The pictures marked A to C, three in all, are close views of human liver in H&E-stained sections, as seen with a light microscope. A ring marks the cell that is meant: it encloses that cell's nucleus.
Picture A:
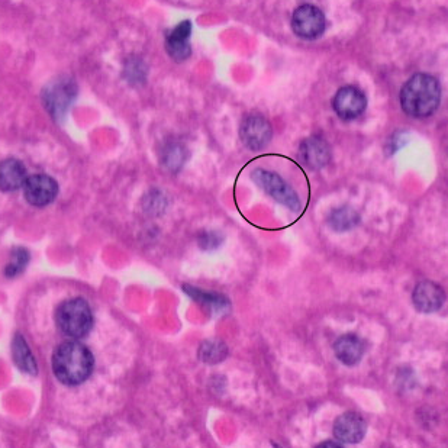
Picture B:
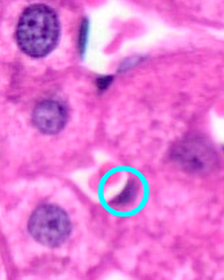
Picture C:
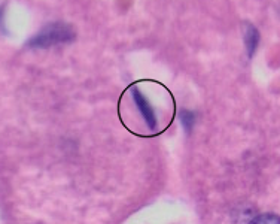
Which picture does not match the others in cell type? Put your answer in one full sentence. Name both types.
The different one is picture A; it shows a Kupffer cell, whereas all the others show endothelial cells.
